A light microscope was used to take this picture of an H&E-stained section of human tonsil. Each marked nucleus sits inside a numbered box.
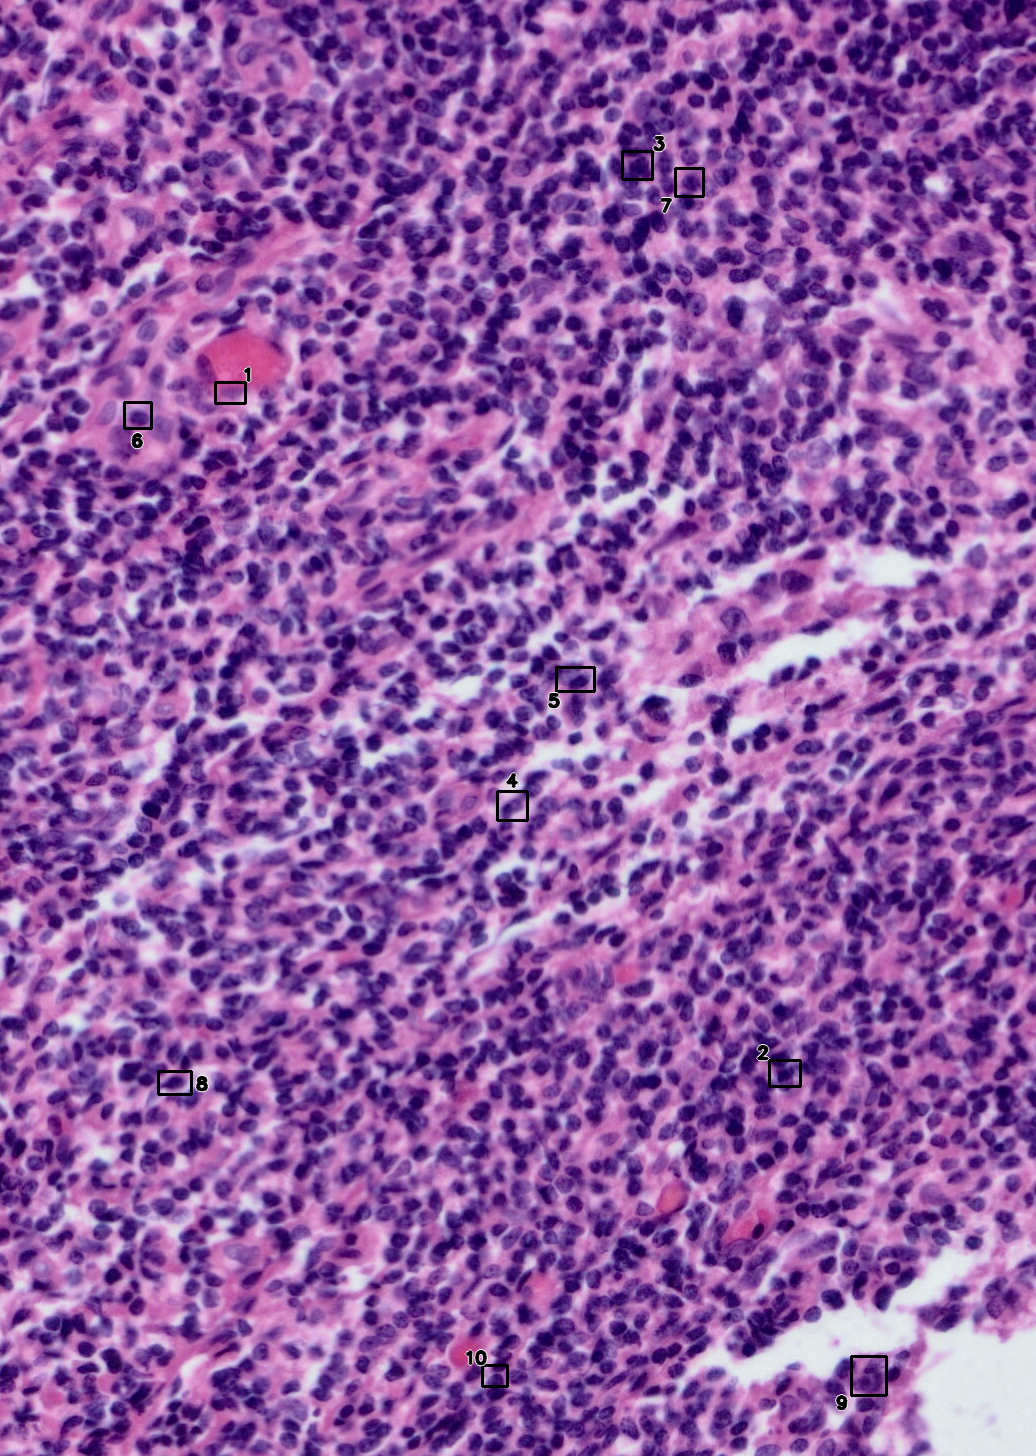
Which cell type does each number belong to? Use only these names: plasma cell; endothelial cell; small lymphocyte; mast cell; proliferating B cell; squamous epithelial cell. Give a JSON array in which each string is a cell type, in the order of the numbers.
["endothelial cell", "small lymphocyte", "small lymphocyte", "small lymphocyte", "proliferating B cell", "endothelial cell", "small lymphocyte", "small lymphocyte", "proliferating B cell", "small lymphocyte"]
